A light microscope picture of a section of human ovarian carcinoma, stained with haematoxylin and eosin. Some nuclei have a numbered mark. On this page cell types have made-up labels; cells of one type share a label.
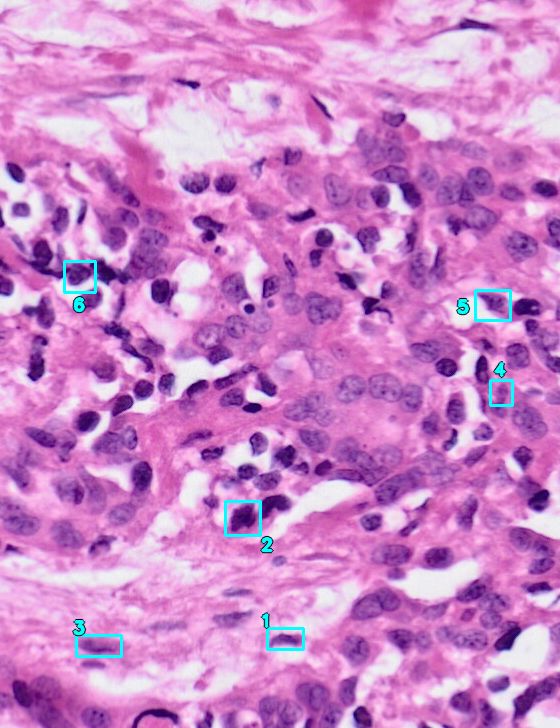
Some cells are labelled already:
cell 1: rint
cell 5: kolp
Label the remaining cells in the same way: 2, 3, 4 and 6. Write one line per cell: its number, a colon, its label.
2: kolp
3: rint
4: kolp
6: kolp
